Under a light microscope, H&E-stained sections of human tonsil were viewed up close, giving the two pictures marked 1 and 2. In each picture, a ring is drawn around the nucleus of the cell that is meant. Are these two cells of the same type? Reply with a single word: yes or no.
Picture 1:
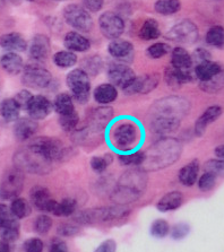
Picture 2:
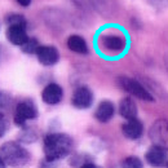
yes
